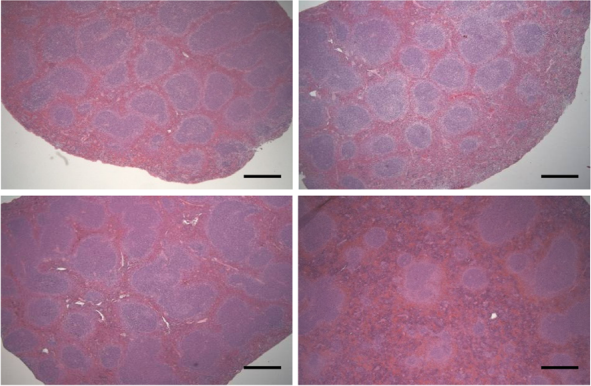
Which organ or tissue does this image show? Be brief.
Spleen.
